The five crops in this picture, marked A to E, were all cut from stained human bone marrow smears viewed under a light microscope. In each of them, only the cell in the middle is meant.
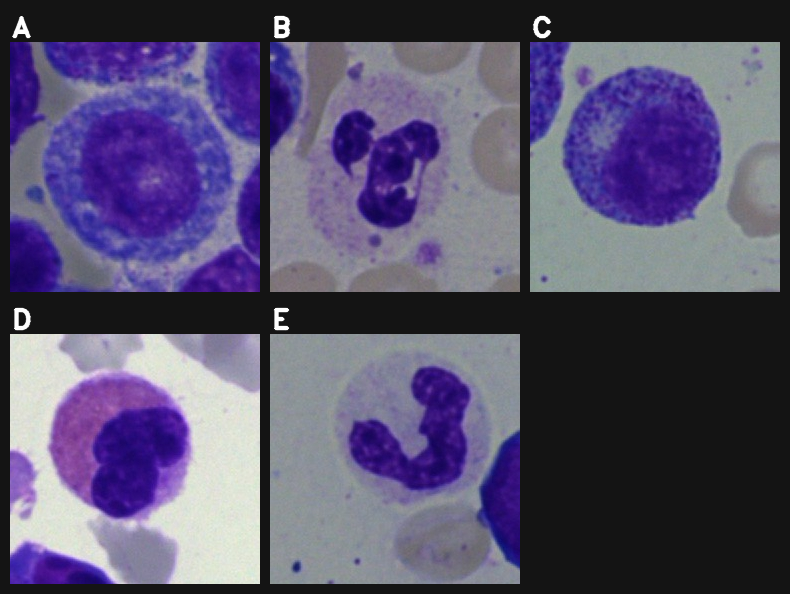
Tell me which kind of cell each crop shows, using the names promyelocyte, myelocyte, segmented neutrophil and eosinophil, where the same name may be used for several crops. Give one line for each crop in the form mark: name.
A: promyelocyte
B: segmented neutrophil
C: myelocyte
D: eosinophil
E: segmented neutrophil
